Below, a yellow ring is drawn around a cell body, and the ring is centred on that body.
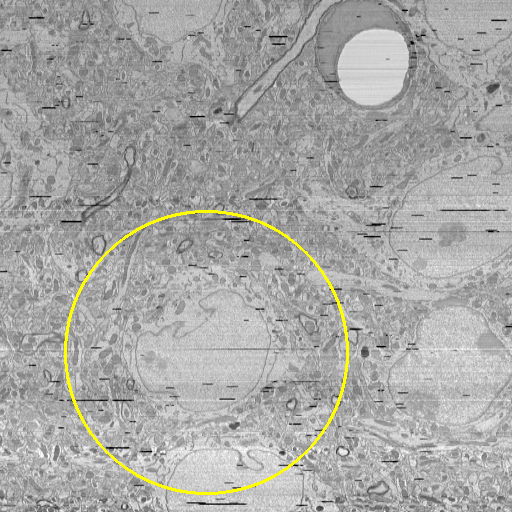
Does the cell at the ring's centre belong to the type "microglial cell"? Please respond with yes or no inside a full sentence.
No, the centred cell inside the ring shown in the picture is of a different type.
